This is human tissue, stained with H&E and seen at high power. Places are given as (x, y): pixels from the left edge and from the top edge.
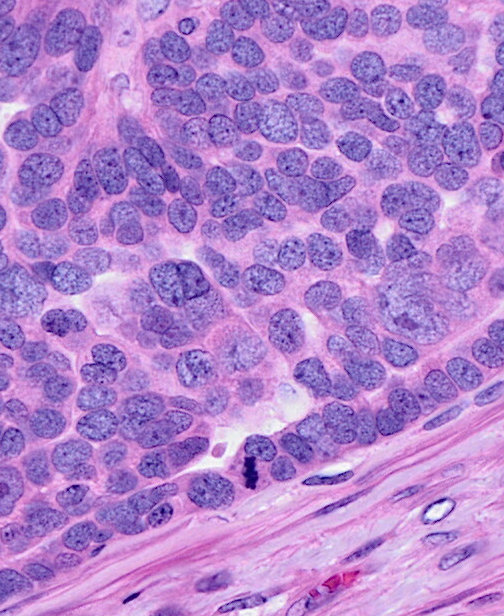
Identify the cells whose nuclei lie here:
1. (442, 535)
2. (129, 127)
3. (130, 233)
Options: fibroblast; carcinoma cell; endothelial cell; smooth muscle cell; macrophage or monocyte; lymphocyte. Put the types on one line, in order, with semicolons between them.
fibroblast; carcinoma cell; carcinoma cell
